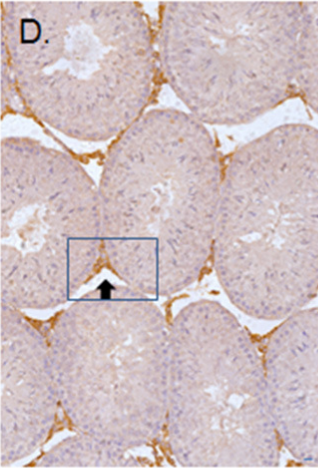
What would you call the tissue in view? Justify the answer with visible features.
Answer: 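Testis. Many round tubule cross sections packed side by side. Each tubule has a multilayered epithelium around a central lumen. Narrow spaces between the tubules hold small groups of cells.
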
